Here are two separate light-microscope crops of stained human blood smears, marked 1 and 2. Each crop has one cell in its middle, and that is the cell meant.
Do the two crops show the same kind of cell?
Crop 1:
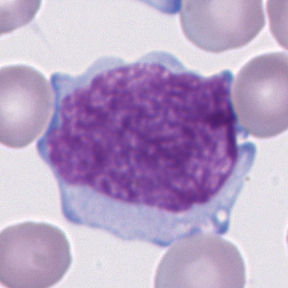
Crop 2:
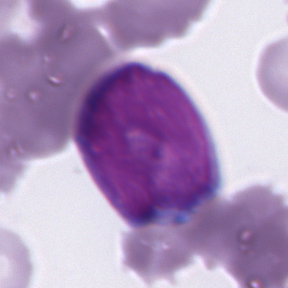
yes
